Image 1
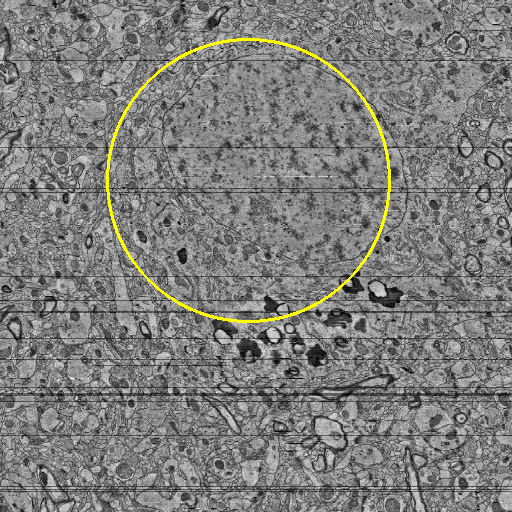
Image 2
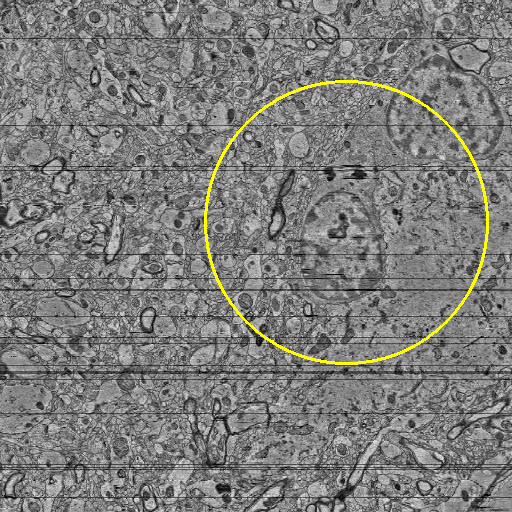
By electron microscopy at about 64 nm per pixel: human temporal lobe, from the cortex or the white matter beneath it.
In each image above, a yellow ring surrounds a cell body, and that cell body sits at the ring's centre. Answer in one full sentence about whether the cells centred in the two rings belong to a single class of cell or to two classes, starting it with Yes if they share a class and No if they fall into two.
No, the cells centred in the two yellow rings belong to two classes of cell.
